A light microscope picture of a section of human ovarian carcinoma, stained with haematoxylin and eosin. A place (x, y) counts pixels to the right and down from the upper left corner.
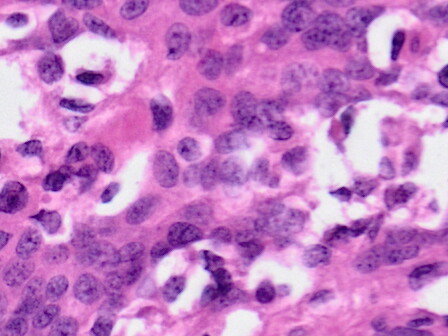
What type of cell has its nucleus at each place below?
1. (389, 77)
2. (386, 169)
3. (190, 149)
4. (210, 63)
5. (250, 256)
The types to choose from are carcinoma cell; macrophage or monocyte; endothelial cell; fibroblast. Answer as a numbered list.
1. carcinoma cell
2. macrophage or monocyte
3. macrophage or monocyte
4. carcinoma cell
5. carcinoma cell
